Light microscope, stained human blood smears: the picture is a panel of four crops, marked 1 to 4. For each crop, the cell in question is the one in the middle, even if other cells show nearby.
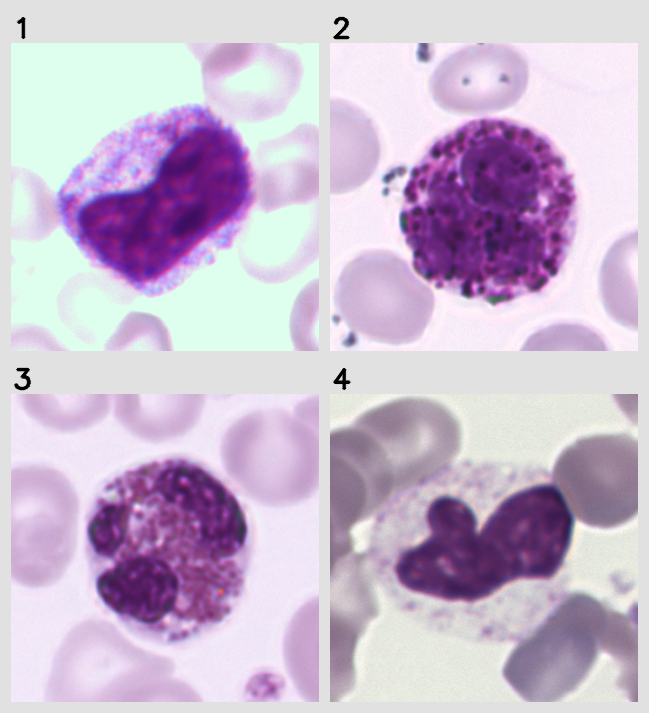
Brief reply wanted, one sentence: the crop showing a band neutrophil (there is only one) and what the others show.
On the one hand crop 1 shows a band neutrophil; on the other, crop 2 is a basophil, crop 3 is an eosinophil and crop 4 is a segmented neutrophil.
